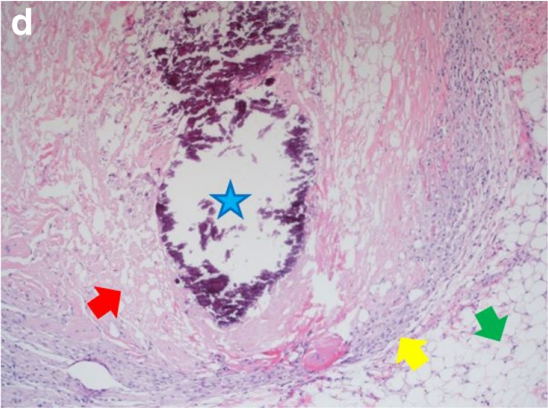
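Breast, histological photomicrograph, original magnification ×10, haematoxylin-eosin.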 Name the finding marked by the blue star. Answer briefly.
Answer: Calcification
